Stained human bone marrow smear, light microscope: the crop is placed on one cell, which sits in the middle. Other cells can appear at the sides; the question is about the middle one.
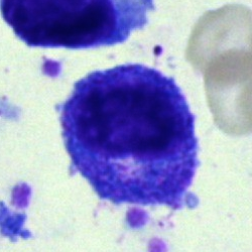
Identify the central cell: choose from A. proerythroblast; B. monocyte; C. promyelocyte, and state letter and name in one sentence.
In the centre of the crop there is a promyelocyte, making option C correct.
